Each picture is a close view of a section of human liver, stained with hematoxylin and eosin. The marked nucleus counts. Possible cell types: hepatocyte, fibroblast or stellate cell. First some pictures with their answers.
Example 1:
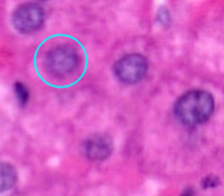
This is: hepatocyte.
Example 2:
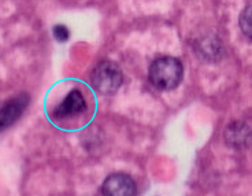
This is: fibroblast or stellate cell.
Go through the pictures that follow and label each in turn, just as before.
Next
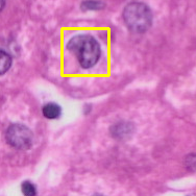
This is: hepatocyte.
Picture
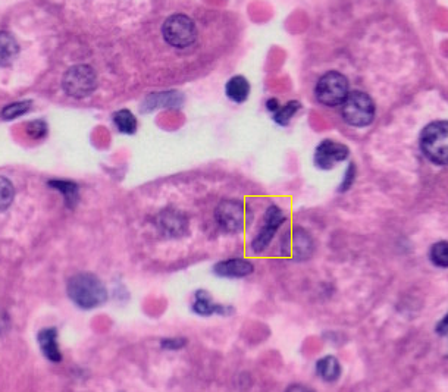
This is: fibroblast or stellate cell.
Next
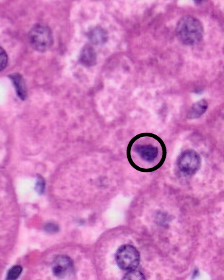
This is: fibroblast or stellate cell.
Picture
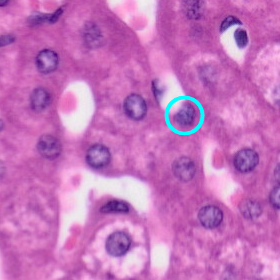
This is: fibroblast or stellate cell.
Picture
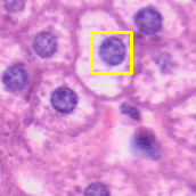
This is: hepatocyte.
